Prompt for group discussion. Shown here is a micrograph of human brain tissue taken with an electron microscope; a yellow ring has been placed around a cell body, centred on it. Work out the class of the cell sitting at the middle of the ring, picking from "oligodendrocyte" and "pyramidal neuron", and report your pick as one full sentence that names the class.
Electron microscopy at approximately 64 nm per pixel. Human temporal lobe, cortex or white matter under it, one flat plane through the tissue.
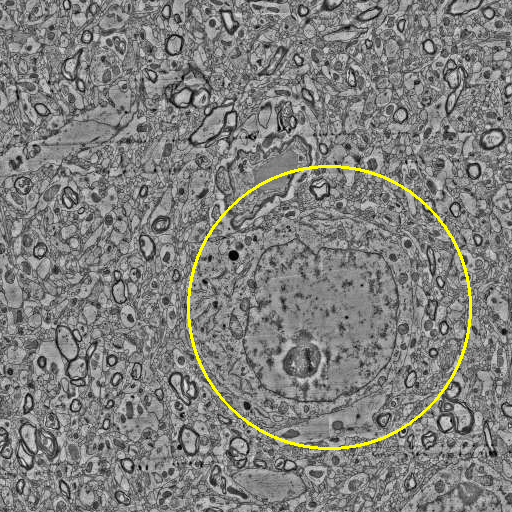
The cell sitting at the middle of the yellow ring is a pyramidal neuron.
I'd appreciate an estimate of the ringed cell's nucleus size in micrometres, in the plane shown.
About 11 micrometres across in this plane.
